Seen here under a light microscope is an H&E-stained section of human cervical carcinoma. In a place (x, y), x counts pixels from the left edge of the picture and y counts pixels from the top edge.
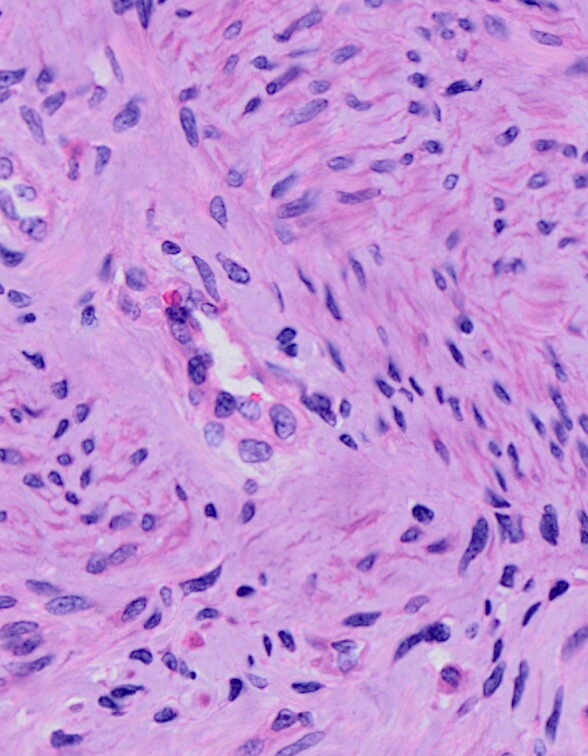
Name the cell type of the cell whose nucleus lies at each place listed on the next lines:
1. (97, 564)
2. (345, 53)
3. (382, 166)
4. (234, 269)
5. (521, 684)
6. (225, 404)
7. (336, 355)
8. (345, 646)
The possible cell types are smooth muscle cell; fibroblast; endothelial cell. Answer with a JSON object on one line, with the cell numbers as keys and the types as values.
{"1": "smooth muscle cell", "2": "smooth muscle cell", "3": "smooth muscle cell", "4": "fibroblast", "5": "fibroblast", "6": "endothelial cell", "7": "fibroblast", "8": "endothelial cell"}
